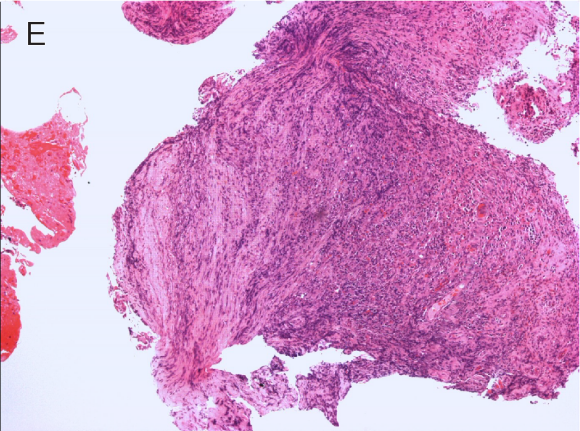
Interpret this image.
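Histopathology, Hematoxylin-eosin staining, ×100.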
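Spindle-shaped cells and fibres run in streaming bundles through a pink stroma, and numerous small dark nuclei of inflammatory cells are scattered densely among them. Smaller fragments and red, blood-rich material lie at the edges of the field on a white background.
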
